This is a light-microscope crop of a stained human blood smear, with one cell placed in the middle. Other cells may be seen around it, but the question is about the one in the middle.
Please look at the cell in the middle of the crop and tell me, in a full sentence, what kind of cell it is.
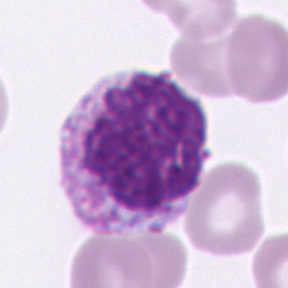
On this slide crop, the central cell is a band neutrophil.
